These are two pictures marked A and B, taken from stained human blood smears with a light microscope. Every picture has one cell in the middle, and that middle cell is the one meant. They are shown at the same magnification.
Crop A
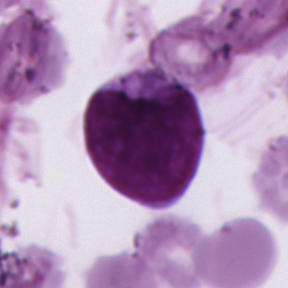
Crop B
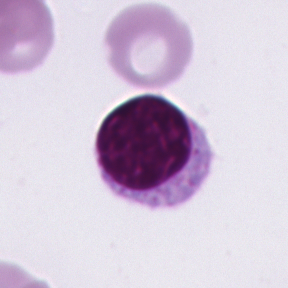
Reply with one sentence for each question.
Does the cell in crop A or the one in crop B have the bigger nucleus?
It is the nucleus in crop A, about 2 times as large in area as the one in crop B.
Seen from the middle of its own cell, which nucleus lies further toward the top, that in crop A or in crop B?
Seen within its cell, the nucleus in crop B lies further toward the top.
